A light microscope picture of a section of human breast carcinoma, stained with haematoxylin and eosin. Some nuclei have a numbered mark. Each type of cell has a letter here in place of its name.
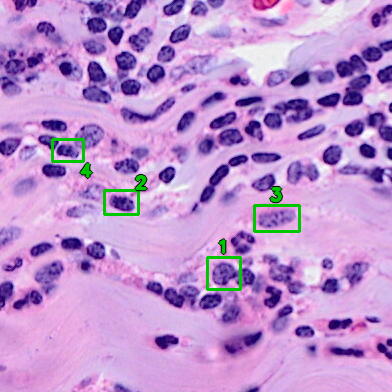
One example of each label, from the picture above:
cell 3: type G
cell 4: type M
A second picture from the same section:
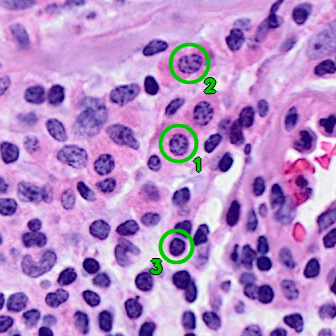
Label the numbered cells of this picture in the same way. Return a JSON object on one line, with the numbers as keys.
{"1": "type G", "2": "type G", "3": "type M"}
